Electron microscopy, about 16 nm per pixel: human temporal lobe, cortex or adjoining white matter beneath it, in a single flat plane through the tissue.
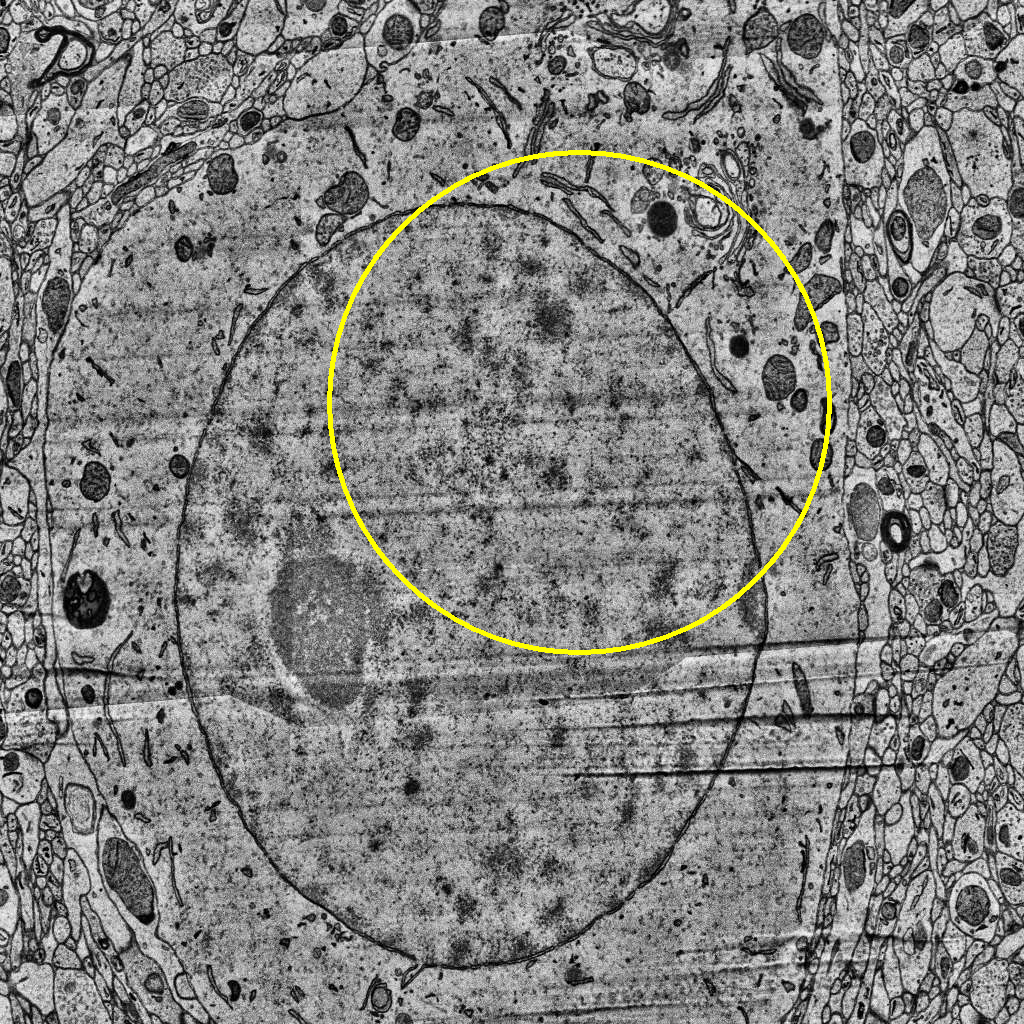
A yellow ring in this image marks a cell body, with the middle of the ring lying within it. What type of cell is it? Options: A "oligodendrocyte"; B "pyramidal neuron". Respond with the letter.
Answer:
B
